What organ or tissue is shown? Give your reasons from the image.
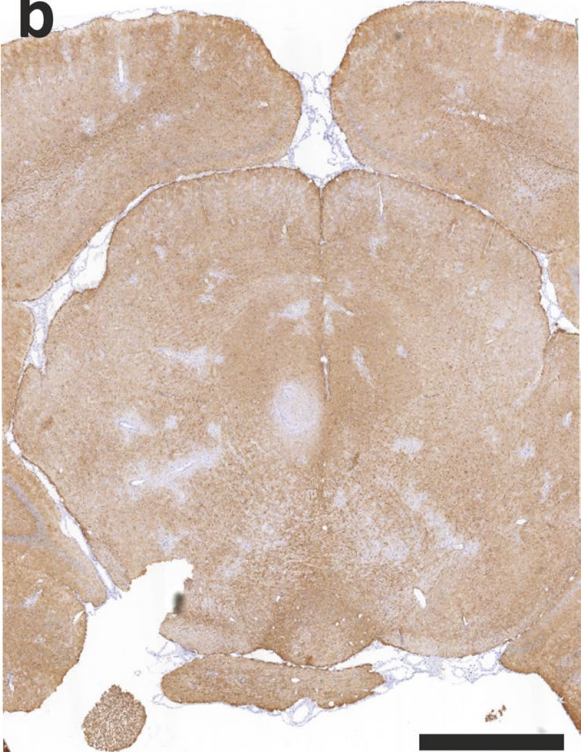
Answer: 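A central brainstem-like mass is split at the top midline by a shallow groove. The hemispheres of the cerebral cortex lie above it, separated by a narrow cleft. Brain tissue is seen in coronal section with a midline structure. So: midbrain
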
